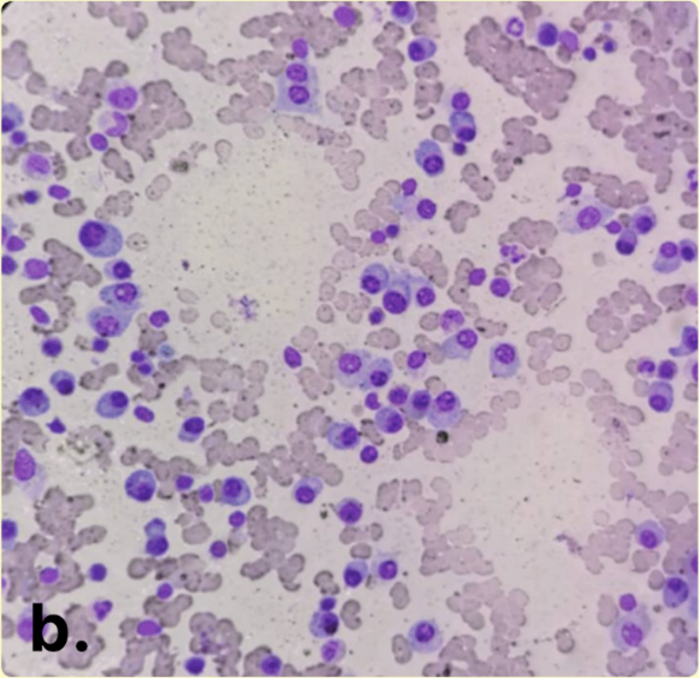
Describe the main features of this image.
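This marrow smear is dominated by plasma cells scattered among clumps of pale pink-grey red cells. Each plasma cell is round to oval, with a round purple nucleus pushed to one side and a generous rim of blue cytoplasm, often with a lighter patch next to the nucleus. The cells vary somewhat in size, and a few larger forms carry two nuclei. Few other kinds of marrow cells are seen between them.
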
